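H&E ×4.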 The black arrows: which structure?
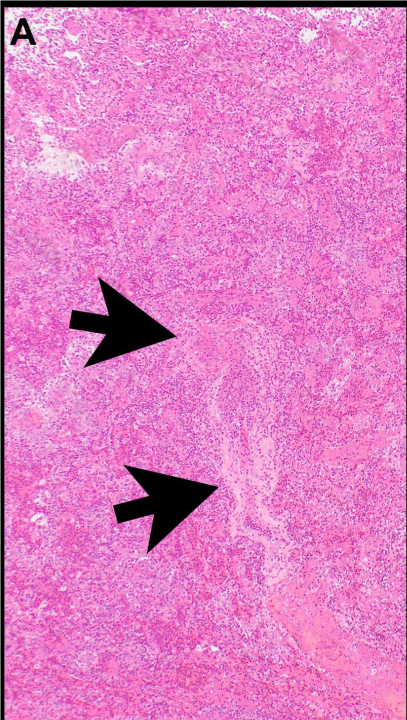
The wall of a vessel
